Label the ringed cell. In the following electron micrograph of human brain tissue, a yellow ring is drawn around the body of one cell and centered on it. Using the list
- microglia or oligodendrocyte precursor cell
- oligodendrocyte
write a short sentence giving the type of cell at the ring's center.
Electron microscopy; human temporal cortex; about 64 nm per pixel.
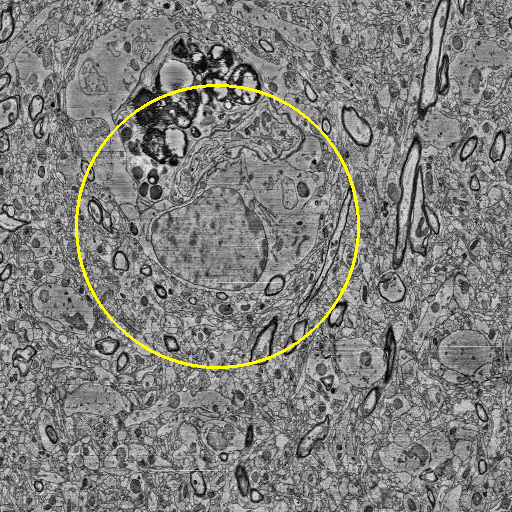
The cell body at the ring's center is that of a microglial cell or oligodendrocyte precursor cell.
